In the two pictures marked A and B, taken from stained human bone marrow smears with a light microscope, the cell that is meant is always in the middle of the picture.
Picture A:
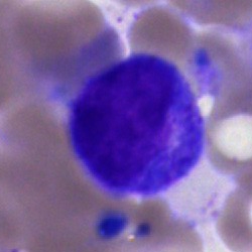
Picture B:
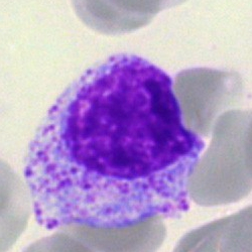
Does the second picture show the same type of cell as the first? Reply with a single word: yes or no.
no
